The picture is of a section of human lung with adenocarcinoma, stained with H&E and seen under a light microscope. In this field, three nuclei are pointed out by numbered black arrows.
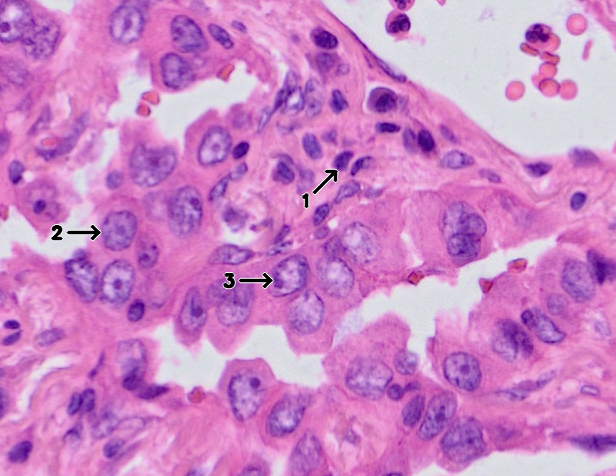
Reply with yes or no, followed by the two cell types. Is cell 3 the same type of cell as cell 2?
Yes, both of the numbered cells concerned, 3 and 2, are carcinoma cells.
